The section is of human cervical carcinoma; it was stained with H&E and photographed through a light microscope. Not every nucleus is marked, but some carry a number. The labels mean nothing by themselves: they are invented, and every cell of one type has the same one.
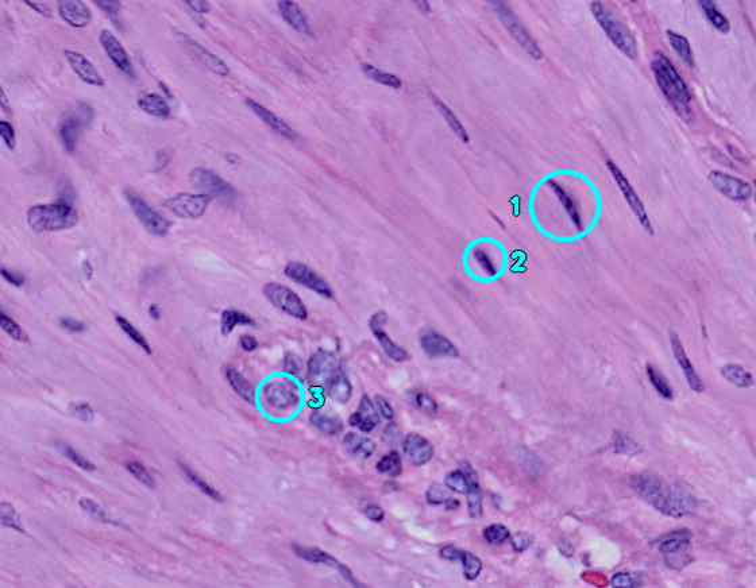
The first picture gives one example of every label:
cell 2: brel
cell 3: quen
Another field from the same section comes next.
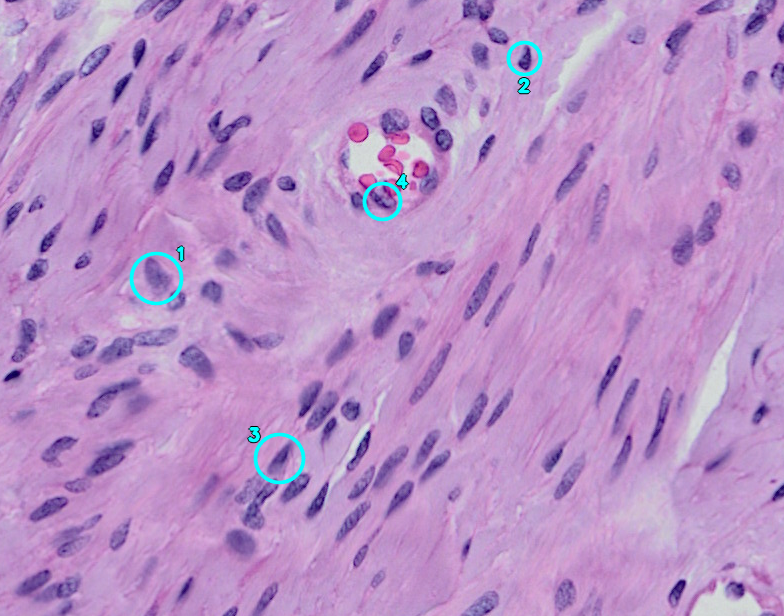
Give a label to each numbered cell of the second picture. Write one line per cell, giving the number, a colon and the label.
1: brel
2: brel
3: brel
4: quen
